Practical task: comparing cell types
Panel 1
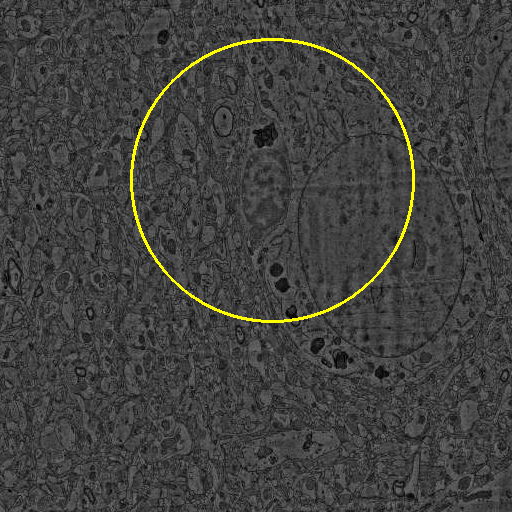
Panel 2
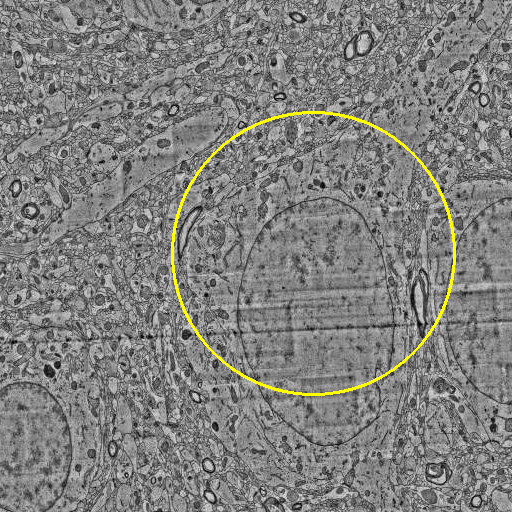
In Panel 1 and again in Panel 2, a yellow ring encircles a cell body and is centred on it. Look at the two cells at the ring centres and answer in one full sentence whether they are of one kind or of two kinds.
The two cells sitting at the ring centres of Panels 1 and 2 are of two kinds.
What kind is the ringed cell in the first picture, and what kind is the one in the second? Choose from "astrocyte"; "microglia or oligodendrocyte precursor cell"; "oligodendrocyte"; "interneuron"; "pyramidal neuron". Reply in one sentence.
The first cell is an oligodendrocyte; the second is a pyramidal neuron.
